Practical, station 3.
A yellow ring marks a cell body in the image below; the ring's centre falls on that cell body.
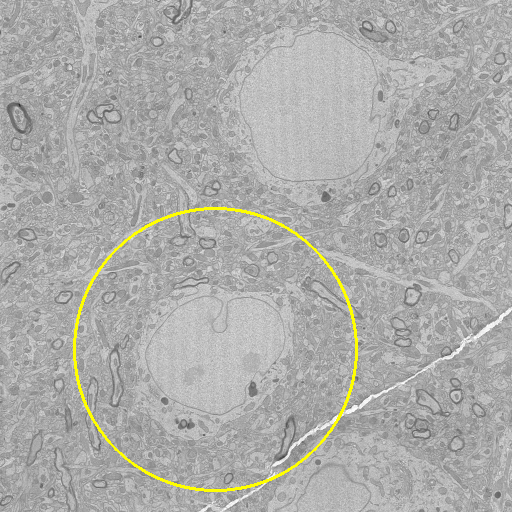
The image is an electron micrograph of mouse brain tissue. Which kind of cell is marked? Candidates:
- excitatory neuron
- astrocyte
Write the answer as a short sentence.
The marked cell body is that of an excitatory neuron.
